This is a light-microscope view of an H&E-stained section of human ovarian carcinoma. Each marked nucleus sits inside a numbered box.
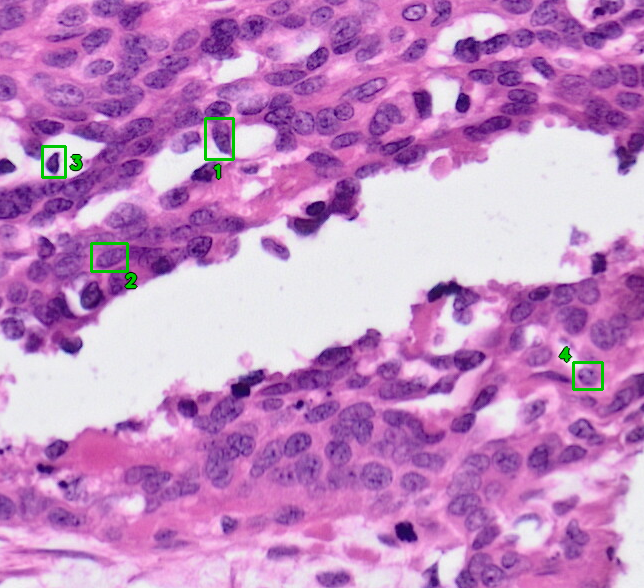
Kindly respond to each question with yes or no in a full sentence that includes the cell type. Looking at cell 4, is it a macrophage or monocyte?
Yes, cell 4 is a macrophage or monocyte in this tissue section.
